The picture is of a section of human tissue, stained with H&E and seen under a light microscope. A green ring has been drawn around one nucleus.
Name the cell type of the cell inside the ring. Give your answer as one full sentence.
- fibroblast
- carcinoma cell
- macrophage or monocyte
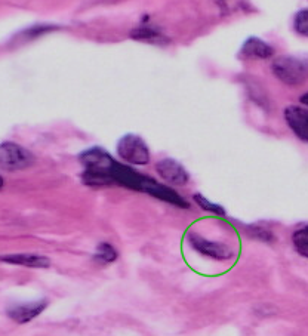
It is a fibroblast that the cell inside the ring represents.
